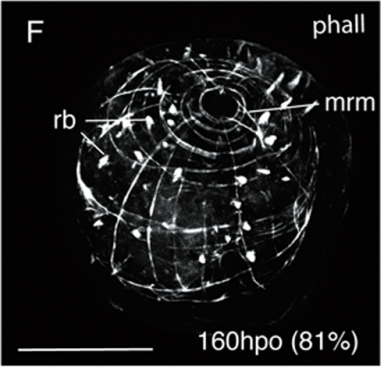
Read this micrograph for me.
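Concentric circular fibres ring the pole, and longitudinal fibres run meridionally across them at right angles. Scattered over the surface lie many small, bright, spindle- to rod-shaped bodies in the epidermis, the rhabdites.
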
